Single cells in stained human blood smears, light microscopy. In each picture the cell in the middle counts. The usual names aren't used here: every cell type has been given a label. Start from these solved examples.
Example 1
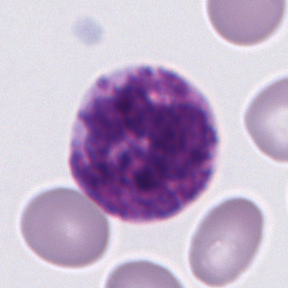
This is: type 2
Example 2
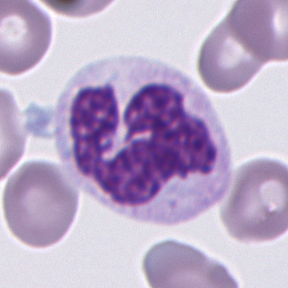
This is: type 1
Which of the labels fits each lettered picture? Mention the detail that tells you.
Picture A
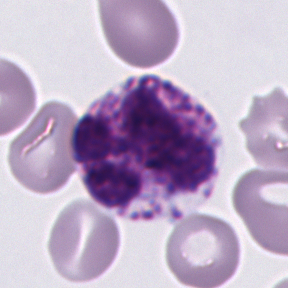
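type 2. Evidence: The granules are coarse and uneven in size.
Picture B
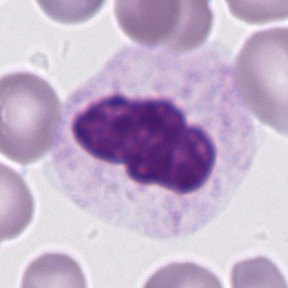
type 1. Evidence: Fine purple granules are scattered through the cytoplasm.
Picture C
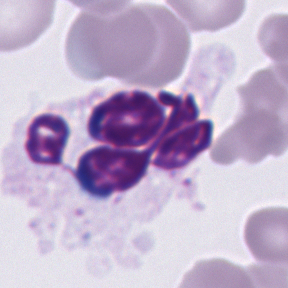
type 1. Evidence: The cytoplasm is abundant and very pale lilac.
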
